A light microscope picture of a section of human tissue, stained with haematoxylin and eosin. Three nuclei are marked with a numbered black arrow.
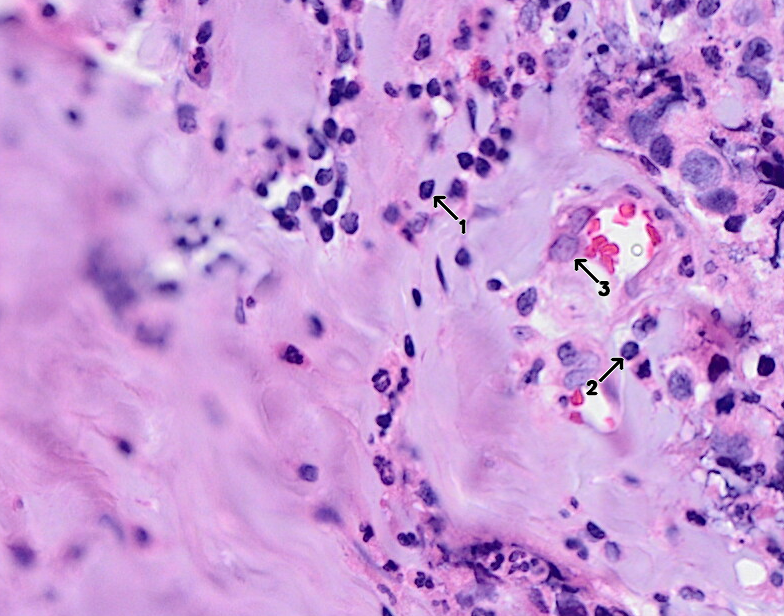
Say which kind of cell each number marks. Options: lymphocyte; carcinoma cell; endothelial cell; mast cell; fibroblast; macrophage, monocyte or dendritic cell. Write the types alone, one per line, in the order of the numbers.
lymphocyte
lymphocyte
endothelial cell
